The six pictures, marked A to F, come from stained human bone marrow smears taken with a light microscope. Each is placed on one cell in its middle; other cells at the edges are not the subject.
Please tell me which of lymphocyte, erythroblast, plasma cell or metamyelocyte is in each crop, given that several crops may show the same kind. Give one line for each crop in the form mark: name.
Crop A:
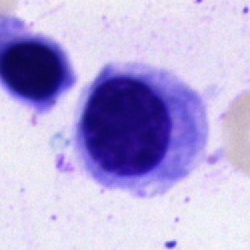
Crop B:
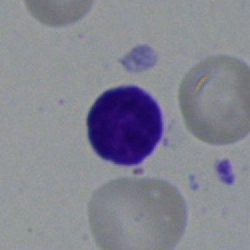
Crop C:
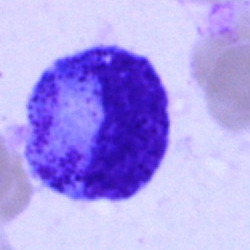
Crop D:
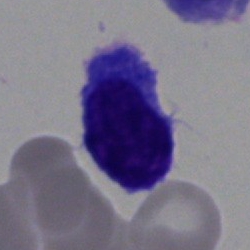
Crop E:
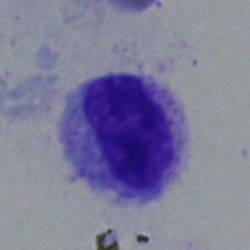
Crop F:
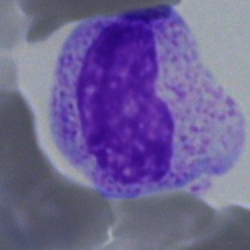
A: erythroblast
B: lymphocyte
C: metamyelocyte
D: lymphocyte
E: metamyelocyte
F: metamyelocyte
